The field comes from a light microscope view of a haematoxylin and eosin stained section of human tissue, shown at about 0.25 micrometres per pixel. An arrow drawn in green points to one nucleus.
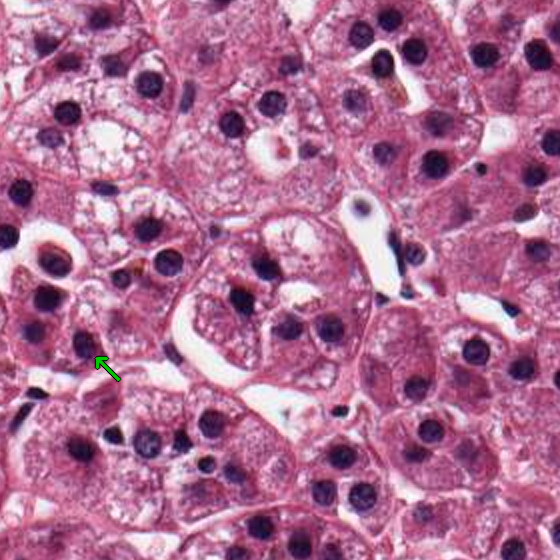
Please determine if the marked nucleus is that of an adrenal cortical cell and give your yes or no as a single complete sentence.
Yes, the marked nucleus is part of an adrenal cortical cell.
